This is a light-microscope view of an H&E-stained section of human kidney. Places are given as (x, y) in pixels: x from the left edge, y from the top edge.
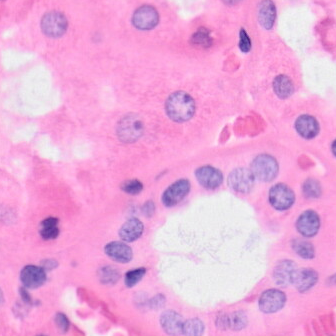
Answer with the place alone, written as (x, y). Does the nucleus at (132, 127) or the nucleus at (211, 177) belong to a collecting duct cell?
(211, 177)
